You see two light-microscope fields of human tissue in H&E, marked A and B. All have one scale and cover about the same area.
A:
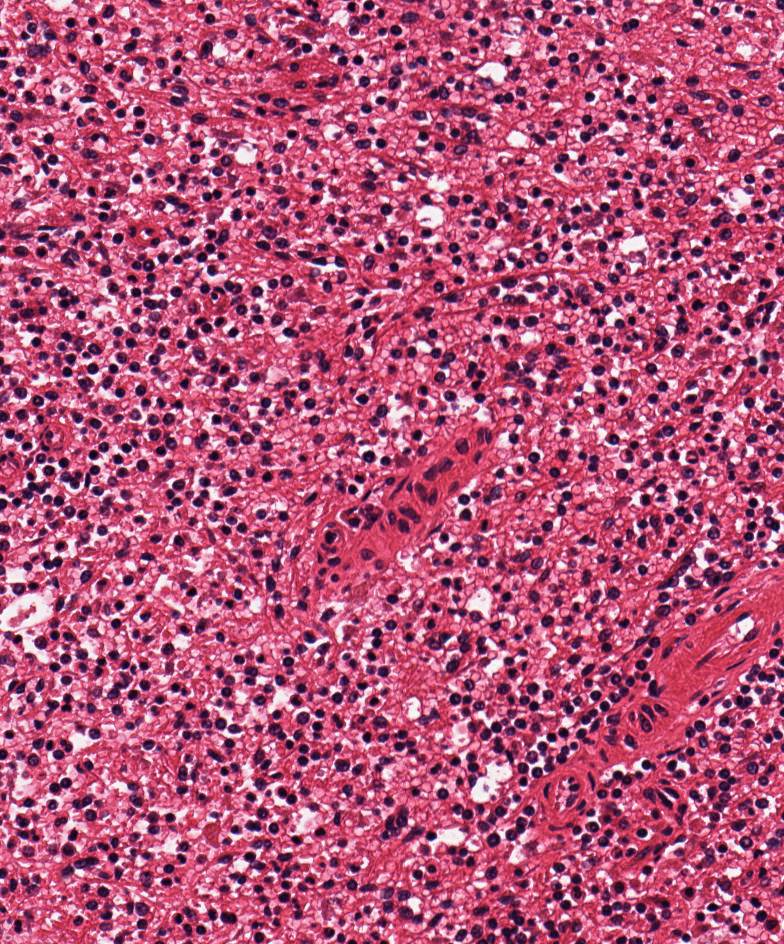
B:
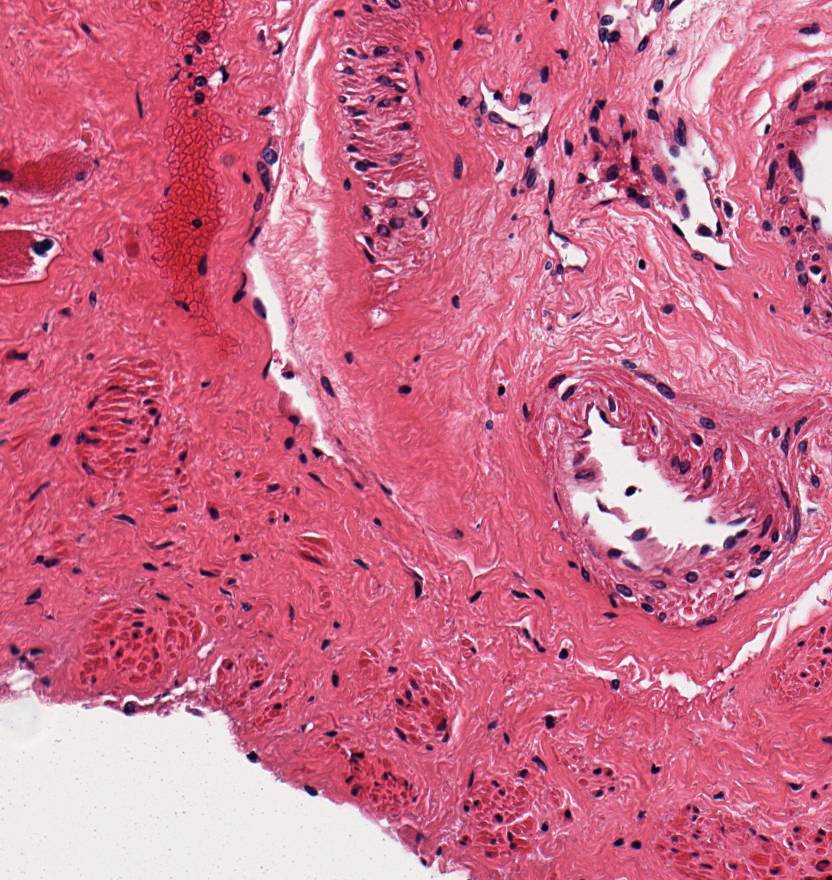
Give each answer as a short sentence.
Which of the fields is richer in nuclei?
The larger number of nuclei is in field A.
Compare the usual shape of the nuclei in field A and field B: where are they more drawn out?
It is field B whose nuclei are the more elongated.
